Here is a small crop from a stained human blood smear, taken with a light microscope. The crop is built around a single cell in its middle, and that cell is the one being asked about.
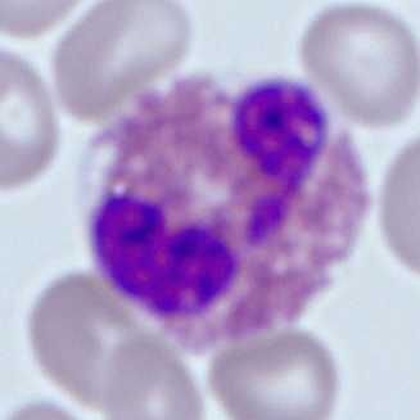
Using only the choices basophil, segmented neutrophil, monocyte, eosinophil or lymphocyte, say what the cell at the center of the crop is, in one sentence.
Positioned in the middle of the crop is an eosinophil.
